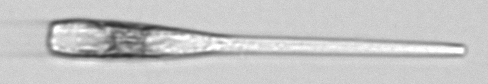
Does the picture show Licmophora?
Yes.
